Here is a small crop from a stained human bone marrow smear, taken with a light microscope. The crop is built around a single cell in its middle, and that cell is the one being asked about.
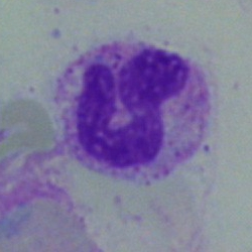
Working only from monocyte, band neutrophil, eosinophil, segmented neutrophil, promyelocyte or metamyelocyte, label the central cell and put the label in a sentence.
In this smear crop, the middle cell is a band neutrophil.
